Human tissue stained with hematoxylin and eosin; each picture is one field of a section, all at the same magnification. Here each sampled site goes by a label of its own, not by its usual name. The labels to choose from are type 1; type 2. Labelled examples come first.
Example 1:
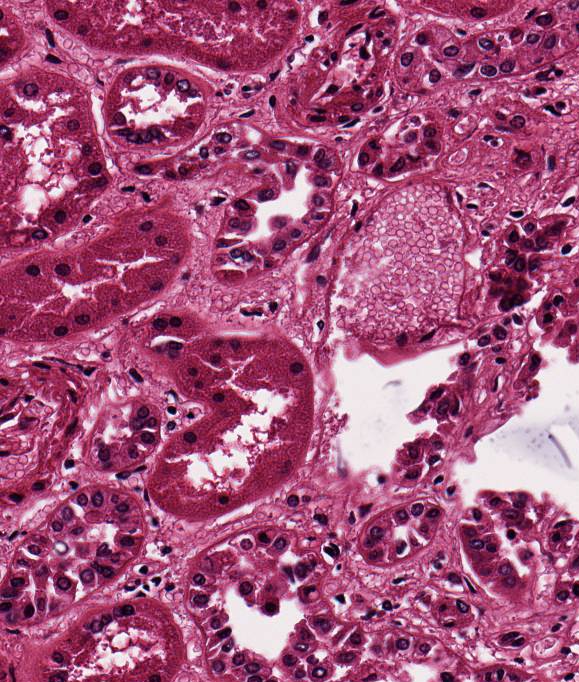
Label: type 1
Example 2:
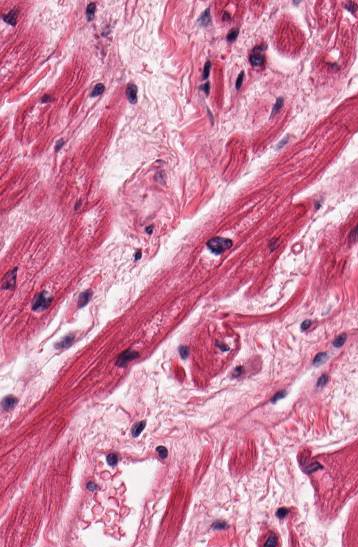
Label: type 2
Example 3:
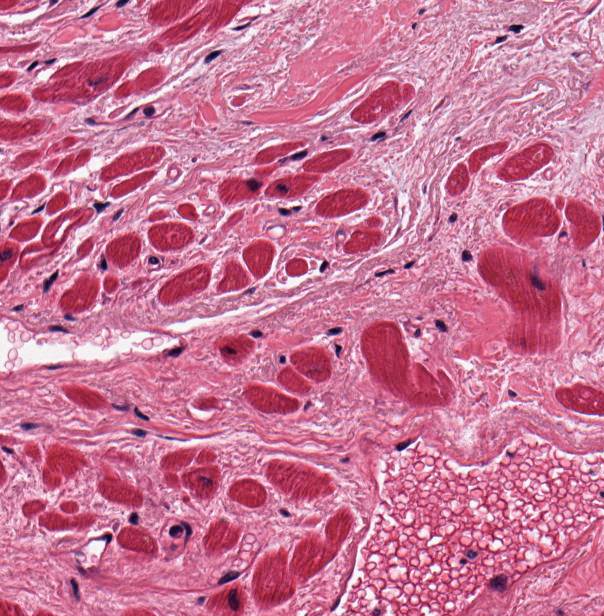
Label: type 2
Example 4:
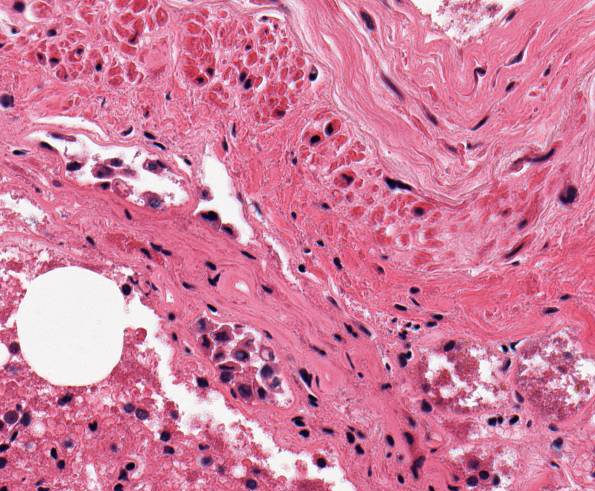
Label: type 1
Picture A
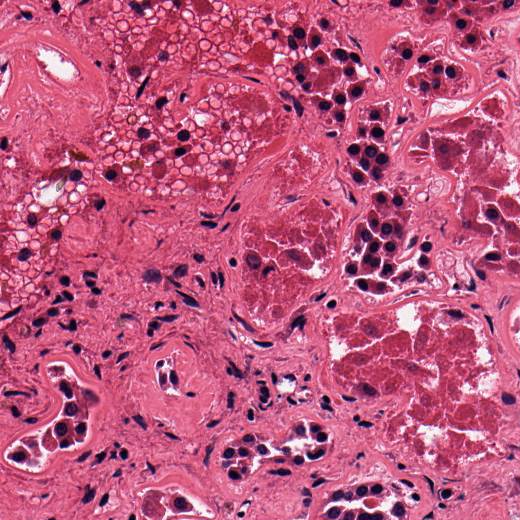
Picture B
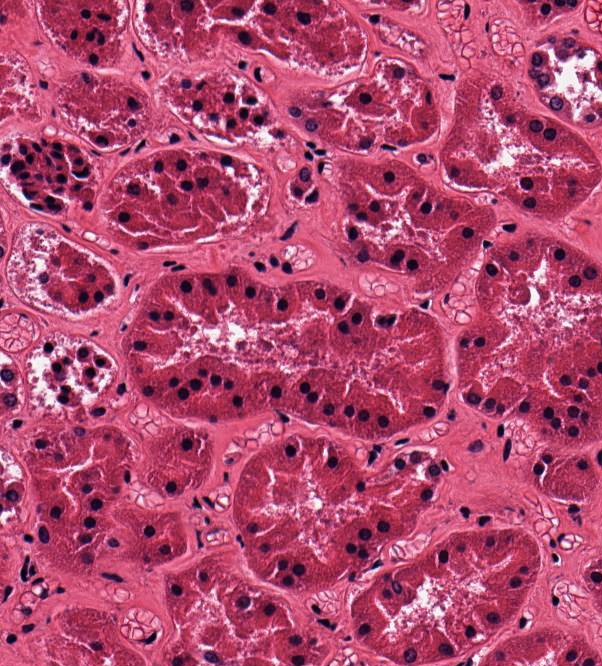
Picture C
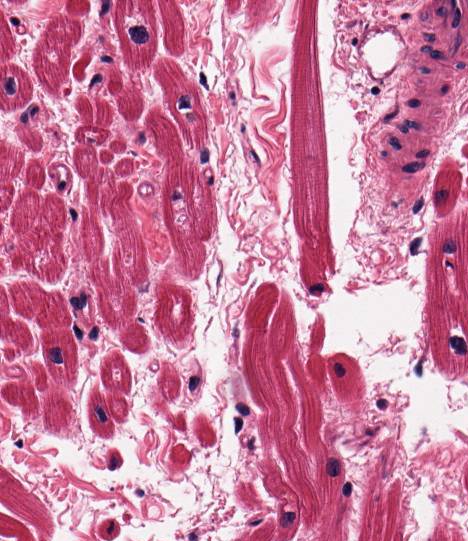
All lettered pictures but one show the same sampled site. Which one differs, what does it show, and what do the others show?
C differs and shows type 2; the others show type 1.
